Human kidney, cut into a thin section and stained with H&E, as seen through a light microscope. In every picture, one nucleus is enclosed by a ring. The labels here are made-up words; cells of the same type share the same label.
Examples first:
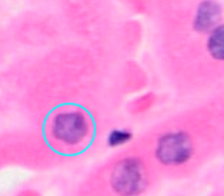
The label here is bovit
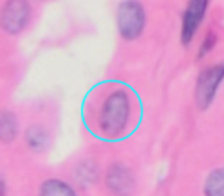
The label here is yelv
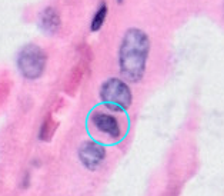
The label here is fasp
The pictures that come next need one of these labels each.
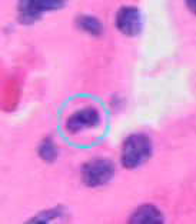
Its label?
yelv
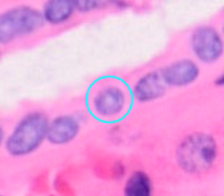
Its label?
fasp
